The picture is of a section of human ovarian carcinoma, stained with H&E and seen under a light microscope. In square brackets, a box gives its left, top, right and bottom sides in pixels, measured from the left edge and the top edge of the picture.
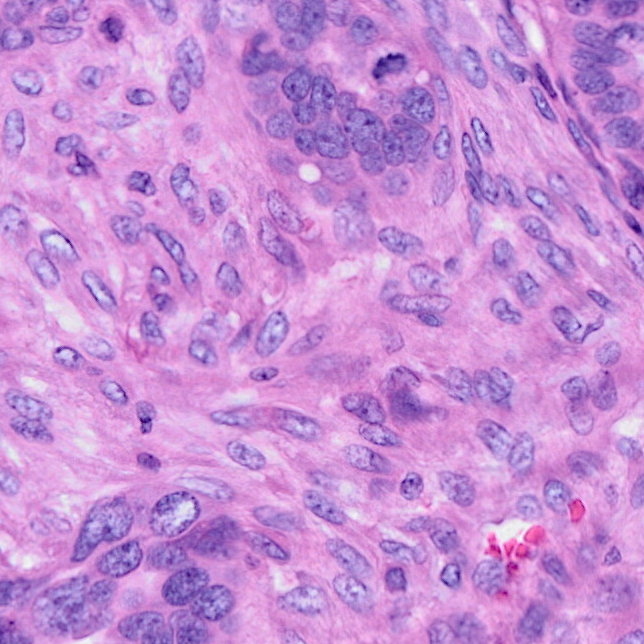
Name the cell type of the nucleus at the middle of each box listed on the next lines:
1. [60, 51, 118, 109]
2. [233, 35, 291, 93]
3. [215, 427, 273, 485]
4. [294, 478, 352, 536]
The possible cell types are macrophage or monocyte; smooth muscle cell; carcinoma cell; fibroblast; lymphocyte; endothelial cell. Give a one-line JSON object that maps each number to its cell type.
{"1": "fibroblast", "2": "carcinoma cell", "3": "fibroblast", "4": "fibroblast"}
